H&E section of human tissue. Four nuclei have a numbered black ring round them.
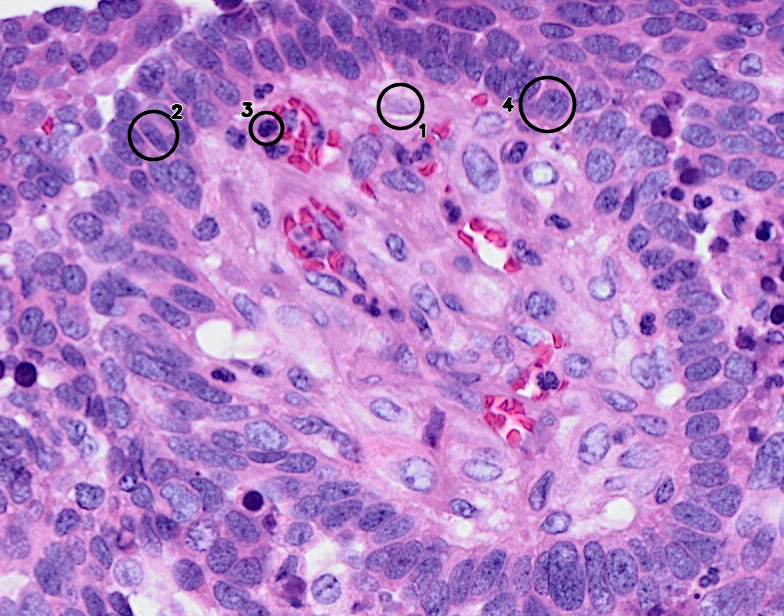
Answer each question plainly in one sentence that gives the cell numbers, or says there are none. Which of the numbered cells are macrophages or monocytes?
The numbered cells include no macrophages or monocytes at all.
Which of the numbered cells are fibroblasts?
Only one of the numbered nuclei, number 1, belongs to a fibroblast.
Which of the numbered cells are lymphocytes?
Cell 3 is the single numbered cell that is a lymphocyte.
